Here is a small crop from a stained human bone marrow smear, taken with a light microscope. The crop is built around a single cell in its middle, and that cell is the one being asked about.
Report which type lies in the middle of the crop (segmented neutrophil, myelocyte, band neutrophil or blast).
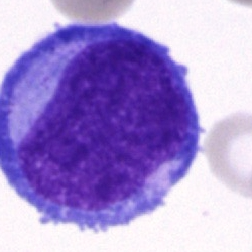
blast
